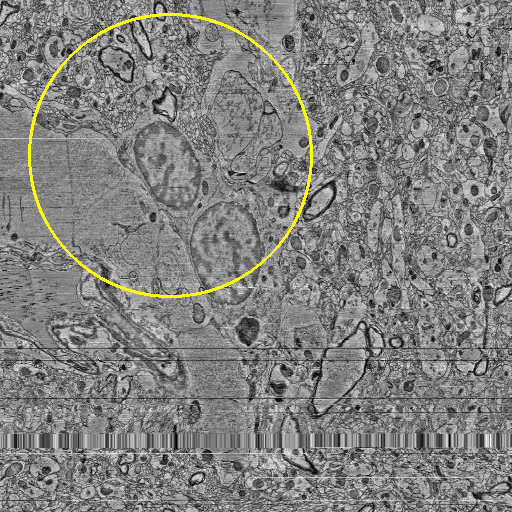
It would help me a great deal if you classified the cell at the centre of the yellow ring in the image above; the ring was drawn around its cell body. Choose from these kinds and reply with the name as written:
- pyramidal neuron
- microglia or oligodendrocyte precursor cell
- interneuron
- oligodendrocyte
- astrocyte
oligodendrocyte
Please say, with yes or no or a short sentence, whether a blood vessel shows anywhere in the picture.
Yes.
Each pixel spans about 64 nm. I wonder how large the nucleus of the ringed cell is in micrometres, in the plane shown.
Roughly 6 micrometres long and 4 micrometres wide; in this plane the nucleus is clearly longer than it is wide.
